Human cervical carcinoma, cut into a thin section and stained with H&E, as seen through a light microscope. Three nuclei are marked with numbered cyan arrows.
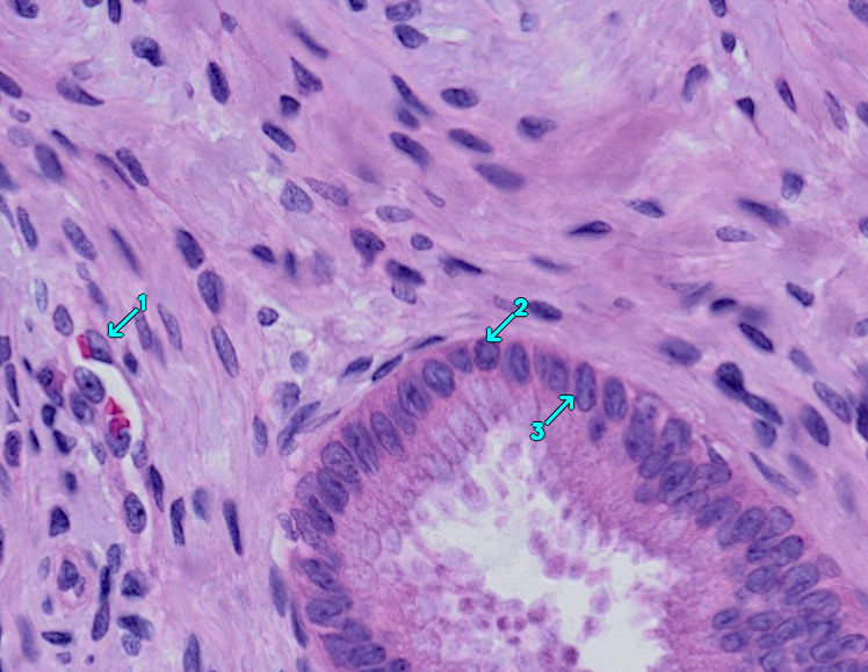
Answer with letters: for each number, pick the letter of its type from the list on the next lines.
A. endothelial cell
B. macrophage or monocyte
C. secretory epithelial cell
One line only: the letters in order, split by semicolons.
A; C; C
